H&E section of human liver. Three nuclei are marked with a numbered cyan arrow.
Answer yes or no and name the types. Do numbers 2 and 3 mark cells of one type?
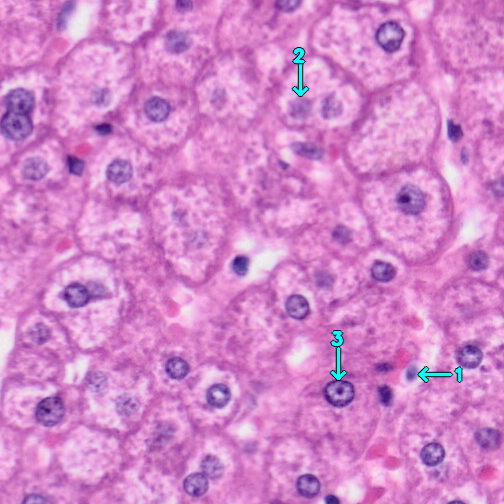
Yes, both are hepatocytes.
